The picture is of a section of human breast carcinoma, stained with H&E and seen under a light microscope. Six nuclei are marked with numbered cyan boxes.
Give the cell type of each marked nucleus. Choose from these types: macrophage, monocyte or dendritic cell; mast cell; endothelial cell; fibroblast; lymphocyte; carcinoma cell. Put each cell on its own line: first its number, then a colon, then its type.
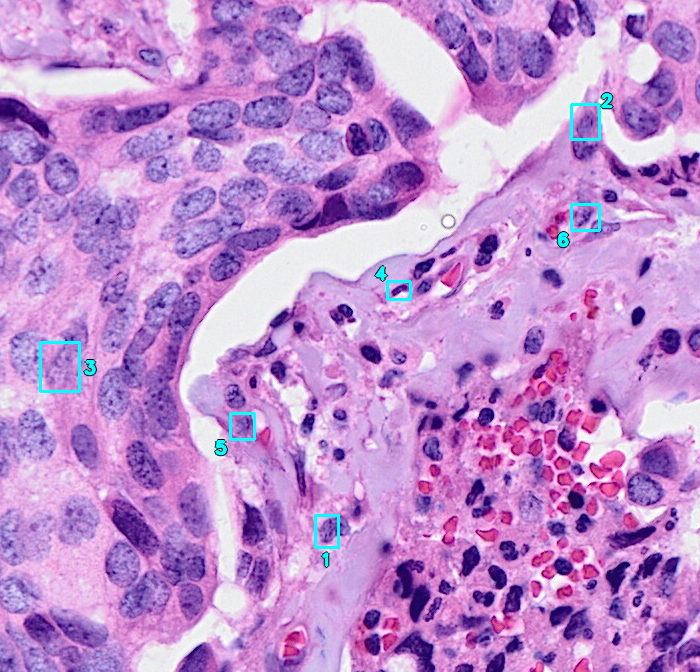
1: macrophage, monocyte or dendritic cell
2: endothelial cell
3: carcinoma cell
4: fibroblast
5: endothelial cell
6: endothelial cell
